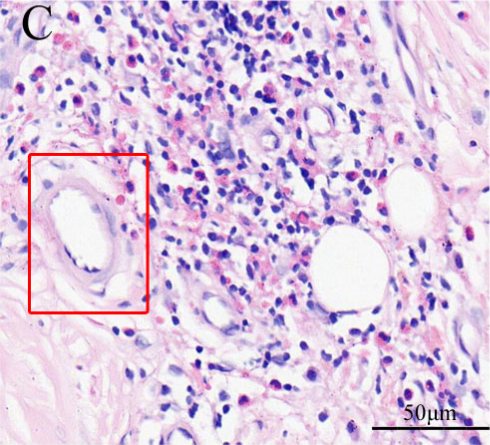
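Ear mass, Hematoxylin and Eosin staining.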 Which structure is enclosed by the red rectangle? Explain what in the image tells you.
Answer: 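A small vessel with an open lumen lies inside the rectangle. Its wall is thick, pale pink and glassy, without clear cell detail.
Conclusion: hyaline blood vessels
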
